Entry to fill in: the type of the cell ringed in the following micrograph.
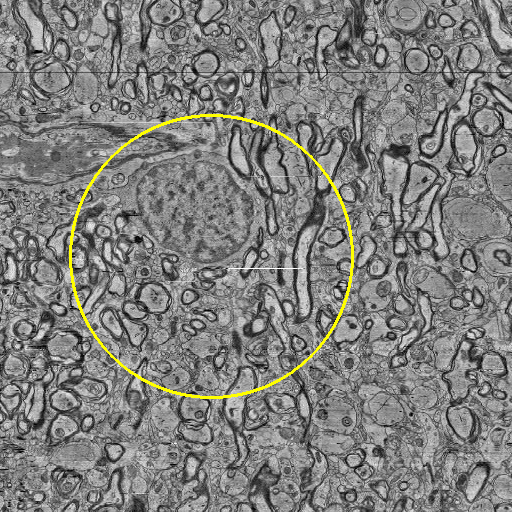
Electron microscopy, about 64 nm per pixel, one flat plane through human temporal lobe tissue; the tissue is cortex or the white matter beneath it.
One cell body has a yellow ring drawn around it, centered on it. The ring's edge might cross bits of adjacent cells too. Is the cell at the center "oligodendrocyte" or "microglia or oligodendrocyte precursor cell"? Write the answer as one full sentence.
This entry names an oligodendrocyte as the cell whose body lies at the ring's center.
